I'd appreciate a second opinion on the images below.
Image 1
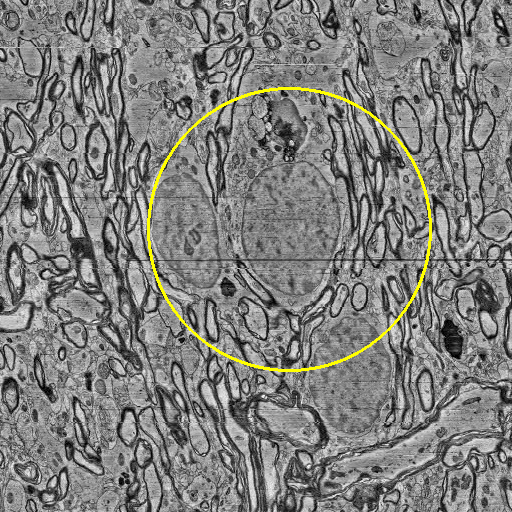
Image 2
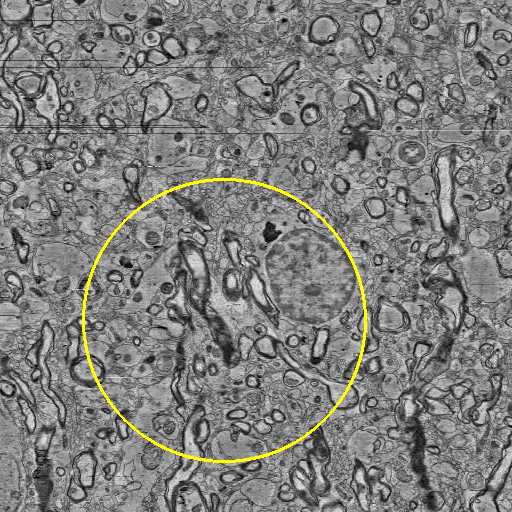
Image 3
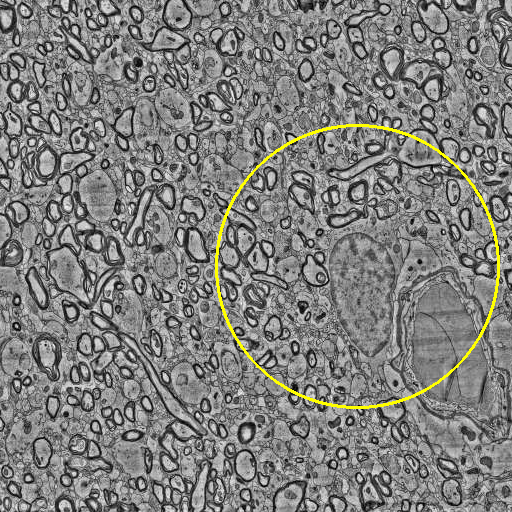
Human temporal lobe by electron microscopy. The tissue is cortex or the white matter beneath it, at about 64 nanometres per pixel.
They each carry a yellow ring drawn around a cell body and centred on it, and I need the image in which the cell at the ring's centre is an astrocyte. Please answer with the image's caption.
Image 1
